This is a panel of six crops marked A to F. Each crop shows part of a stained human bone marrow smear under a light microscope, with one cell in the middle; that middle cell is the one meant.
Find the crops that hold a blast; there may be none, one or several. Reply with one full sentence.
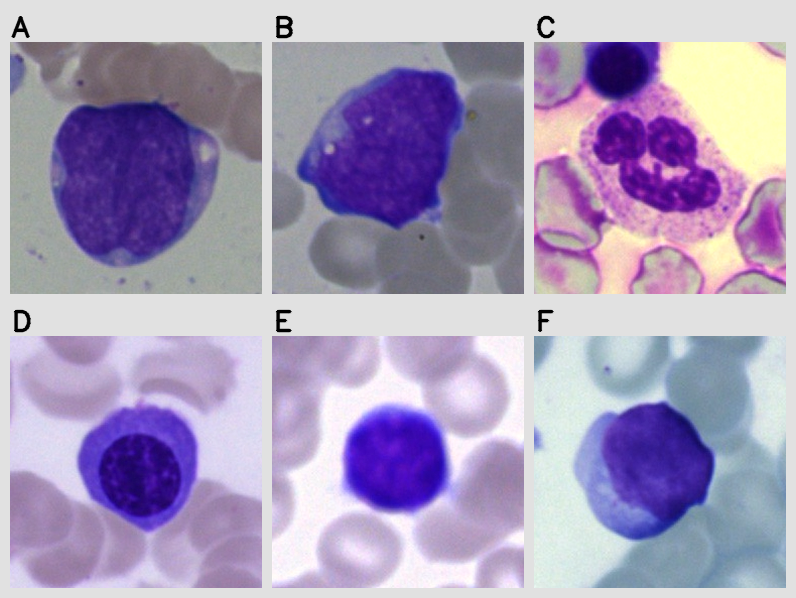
Crops A and B hold blasts in the centre of the field.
